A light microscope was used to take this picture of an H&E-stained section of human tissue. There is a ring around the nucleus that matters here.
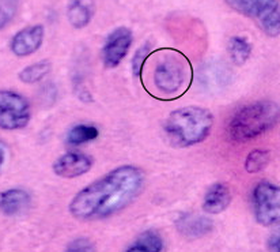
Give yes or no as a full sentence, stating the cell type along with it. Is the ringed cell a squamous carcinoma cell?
Yes, the ringed cell is correctly named as a squamous carcinoma cell.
